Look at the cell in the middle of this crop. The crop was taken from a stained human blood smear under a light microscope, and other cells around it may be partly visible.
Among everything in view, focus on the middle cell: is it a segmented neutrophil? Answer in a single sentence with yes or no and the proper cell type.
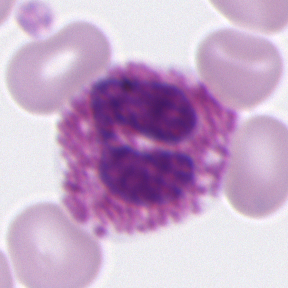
No, the central cell should be identified as an eosinophil, not as a segmented neutrophil.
